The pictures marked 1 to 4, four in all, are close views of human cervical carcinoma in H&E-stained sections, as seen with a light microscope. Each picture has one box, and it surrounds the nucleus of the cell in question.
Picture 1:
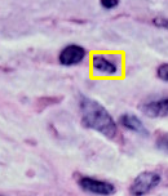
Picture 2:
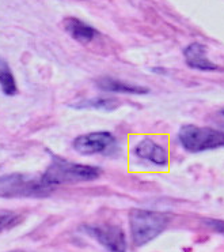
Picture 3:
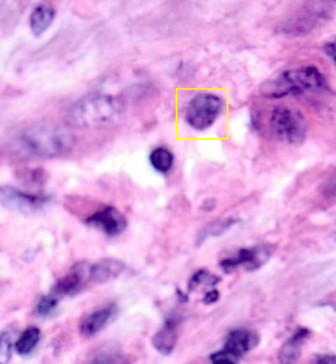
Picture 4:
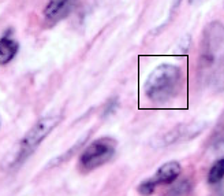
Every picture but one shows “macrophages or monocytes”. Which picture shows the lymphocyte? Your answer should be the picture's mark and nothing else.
1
